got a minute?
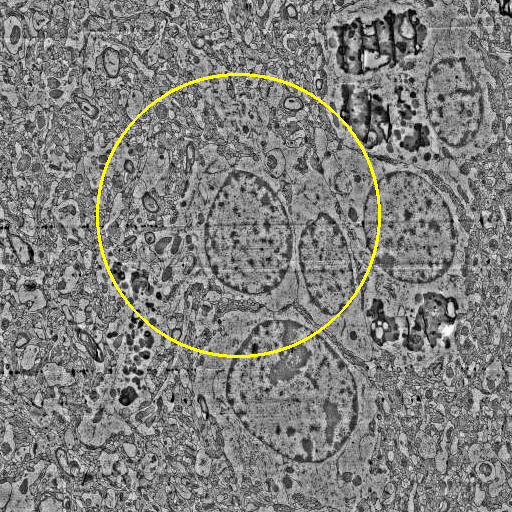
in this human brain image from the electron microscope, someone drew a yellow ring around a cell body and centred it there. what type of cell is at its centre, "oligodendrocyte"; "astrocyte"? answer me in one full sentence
It's an astrocyte at the middle of that yellow ring in the shot.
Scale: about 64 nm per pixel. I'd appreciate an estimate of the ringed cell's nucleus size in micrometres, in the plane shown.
The nucleus is approximately 8 micrometers long by 6 micrometers wide in this plane.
